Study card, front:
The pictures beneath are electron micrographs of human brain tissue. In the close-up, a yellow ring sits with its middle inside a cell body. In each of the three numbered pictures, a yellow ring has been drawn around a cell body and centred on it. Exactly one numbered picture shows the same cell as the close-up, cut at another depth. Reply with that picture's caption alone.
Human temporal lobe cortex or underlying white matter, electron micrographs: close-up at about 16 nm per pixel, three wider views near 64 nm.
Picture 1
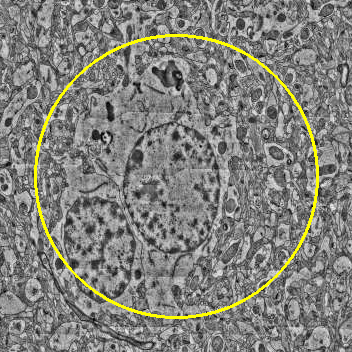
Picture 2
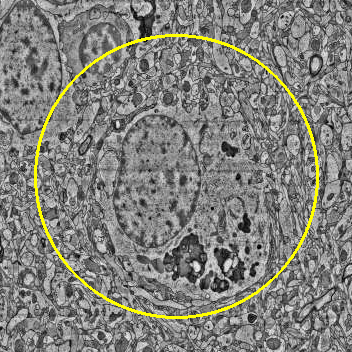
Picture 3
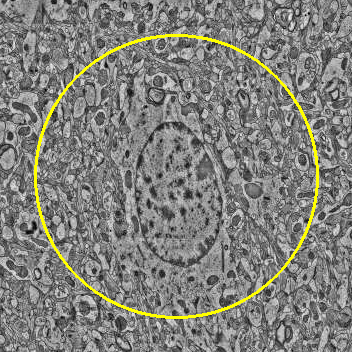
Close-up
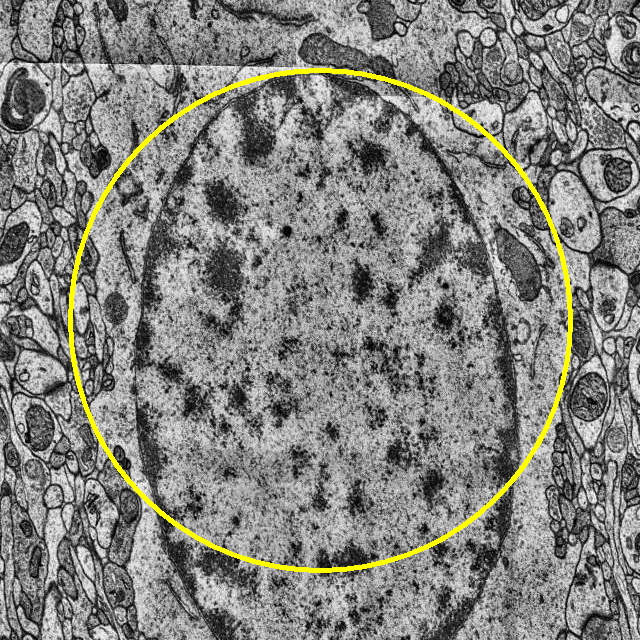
Picture 3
